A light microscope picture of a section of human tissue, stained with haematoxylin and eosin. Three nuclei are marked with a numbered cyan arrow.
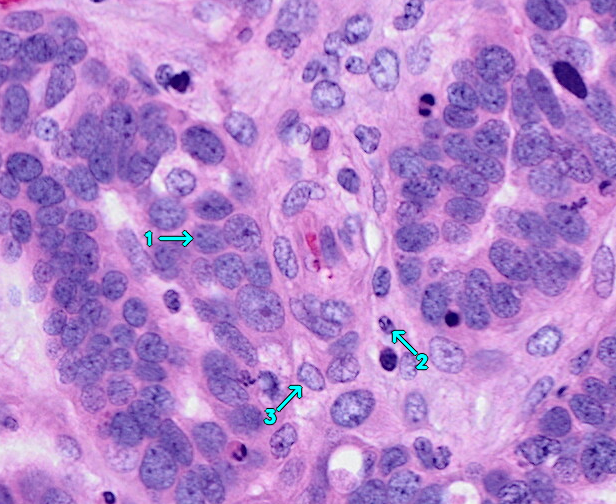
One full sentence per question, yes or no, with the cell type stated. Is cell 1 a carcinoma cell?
Yes, what number 1 marks is a carcinoma cell.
